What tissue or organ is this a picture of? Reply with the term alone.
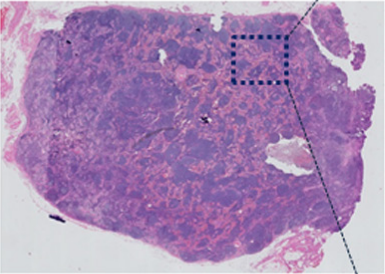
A: Lymph node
